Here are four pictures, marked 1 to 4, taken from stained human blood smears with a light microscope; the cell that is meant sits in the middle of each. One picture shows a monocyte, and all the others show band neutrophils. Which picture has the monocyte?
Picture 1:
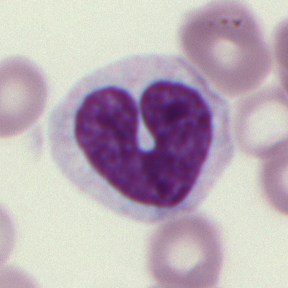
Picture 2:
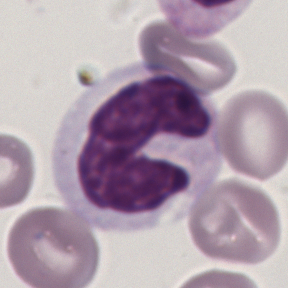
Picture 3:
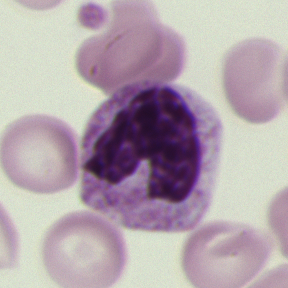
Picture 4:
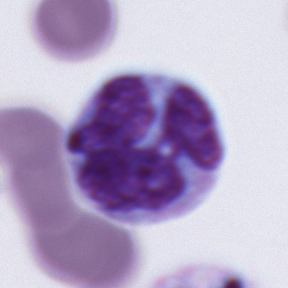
4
